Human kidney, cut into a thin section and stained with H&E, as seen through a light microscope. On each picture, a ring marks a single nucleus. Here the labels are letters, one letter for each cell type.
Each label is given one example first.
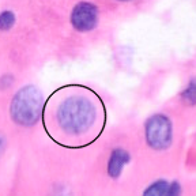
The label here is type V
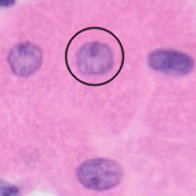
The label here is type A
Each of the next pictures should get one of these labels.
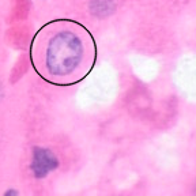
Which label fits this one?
type A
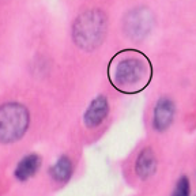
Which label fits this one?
type V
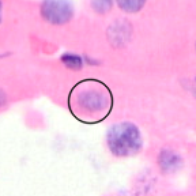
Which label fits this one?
type V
